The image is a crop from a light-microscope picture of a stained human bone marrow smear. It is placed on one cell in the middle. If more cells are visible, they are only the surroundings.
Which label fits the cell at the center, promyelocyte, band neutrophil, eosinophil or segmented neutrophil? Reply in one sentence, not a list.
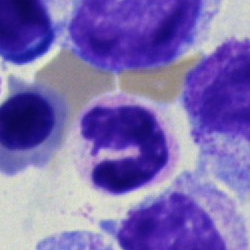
Classification of the middle cell gives a segmented neutrophil.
